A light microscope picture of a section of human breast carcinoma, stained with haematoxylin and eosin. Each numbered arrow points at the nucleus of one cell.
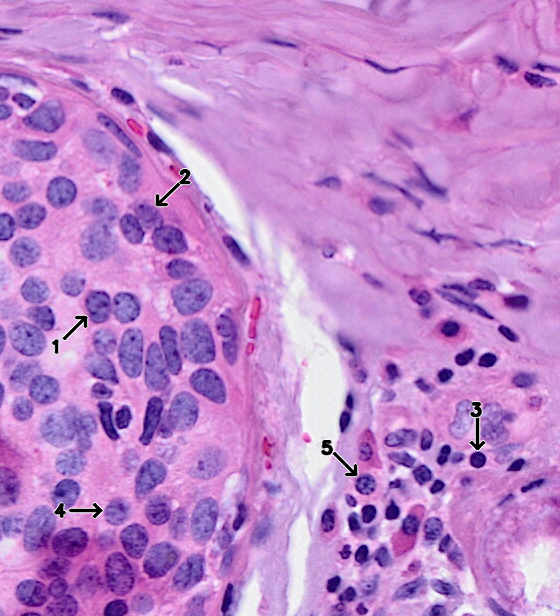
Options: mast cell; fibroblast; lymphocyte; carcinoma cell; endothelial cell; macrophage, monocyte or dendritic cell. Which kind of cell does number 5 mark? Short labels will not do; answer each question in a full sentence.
The nucleus labeled 5 belongs to a mast cell.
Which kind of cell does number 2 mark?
Belonging to a carcinoma cell is the nucleus that carries the number 2.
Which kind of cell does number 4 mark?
The numeral 4 marks a carcinoma cell in this section.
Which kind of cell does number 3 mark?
The identity of cell 3 is that of a lymphocyte.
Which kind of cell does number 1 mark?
The cell assigned the number 1 is a carcinoma cell.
